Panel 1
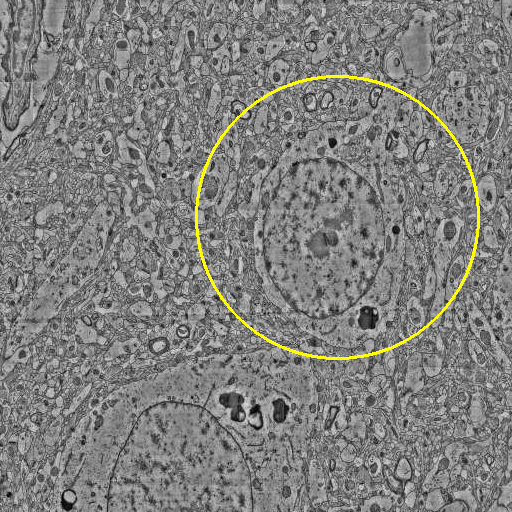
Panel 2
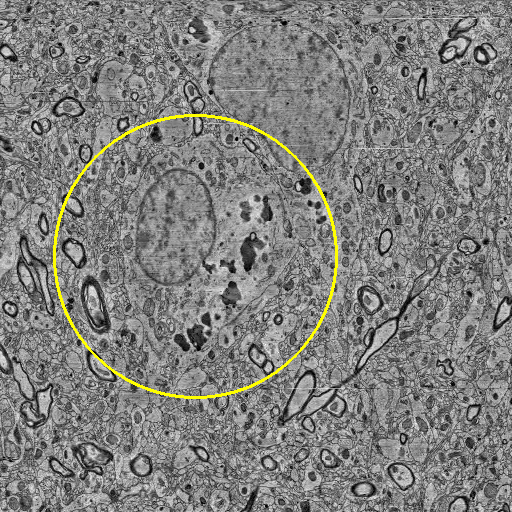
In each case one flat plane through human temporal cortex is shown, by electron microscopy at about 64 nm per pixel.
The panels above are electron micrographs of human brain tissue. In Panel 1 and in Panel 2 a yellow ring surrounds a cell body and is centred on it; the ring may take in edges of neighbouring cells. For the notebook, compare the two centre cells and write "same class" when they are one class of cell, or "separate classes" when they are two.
same class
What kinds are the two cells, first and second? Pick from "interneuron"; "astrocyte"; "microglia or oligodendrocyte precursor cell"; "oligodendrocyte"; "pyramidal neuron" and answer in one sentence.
Each of the two rings is centred on an interneuron.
